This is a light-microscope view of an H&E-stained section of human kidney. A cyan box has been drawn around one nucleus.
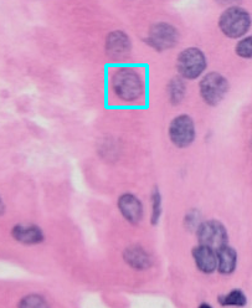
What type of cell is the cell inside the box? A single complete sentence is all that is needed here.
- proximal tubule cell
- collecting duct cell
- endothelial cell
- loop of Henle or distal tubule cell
In the tissue at hand, the cell inside the box is a proximal tubule cell.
